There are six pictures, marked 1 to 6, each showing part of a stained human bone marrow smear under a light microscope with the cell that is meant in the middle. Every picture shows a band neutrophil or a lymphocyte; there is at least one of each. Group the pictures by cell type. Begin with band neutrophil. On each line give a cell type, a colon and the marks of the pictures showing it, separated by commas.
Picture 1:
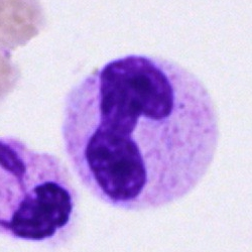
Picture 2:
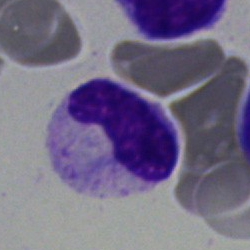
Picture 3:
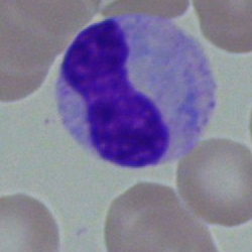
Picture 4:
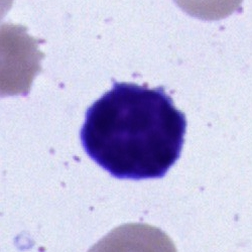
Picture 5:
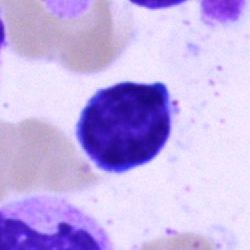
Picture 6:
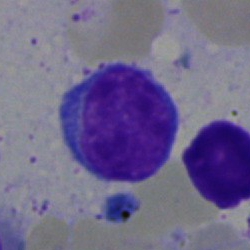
band neutrophil: 1, 2, 3
lymphocyte: 4, 5, 6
